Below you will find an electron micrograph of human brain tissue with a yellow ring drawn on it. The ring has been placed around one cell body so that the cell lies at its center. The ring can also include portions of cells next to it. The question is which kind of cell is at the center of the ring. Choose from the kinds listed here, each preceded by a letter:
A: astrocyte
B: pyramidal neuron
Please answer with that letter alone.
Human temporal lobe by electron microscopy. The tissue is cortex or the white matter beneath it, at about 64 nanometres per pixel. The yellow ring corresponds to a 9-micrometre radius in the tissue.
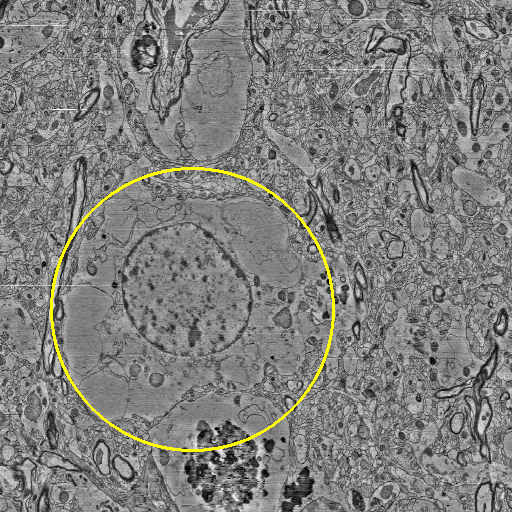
A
